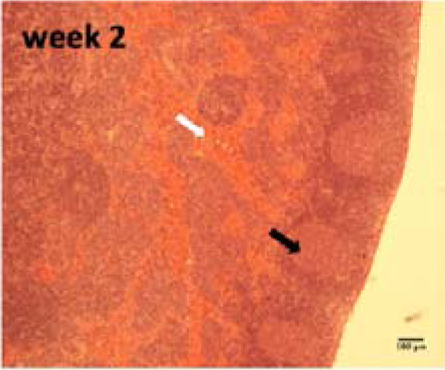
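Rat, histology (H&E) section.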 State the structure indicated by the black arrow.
active germinal centers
